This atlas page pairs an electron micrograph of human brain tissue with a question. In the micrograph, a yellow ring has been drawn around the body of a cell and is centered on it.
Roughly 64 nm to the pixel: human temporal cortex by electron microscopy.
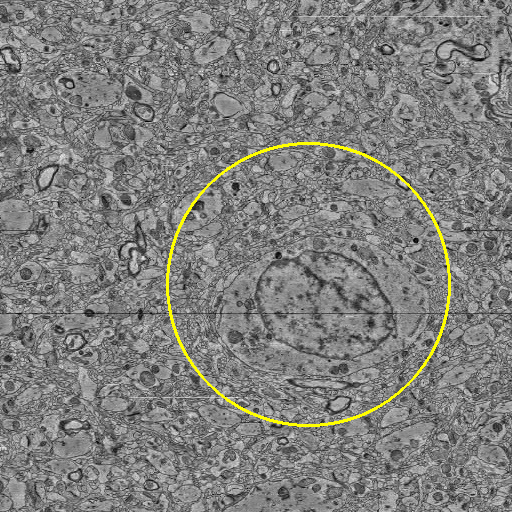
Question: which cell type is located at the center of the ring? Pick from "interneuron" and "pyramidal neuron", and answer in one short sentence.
Located at the center of the ring is a pyramidal neuron.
